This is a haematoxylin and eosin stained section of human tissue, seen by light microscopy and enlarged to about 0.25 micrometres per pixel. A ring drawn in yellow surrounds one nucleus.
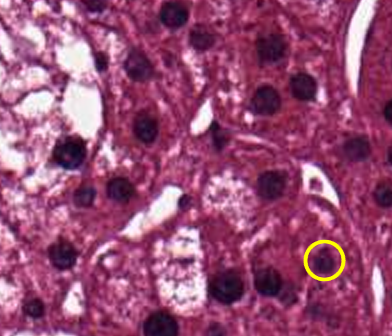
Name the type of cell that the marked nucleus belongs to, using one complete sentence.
The marked nucleus is seen to belong to an adrenal cortical cell.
